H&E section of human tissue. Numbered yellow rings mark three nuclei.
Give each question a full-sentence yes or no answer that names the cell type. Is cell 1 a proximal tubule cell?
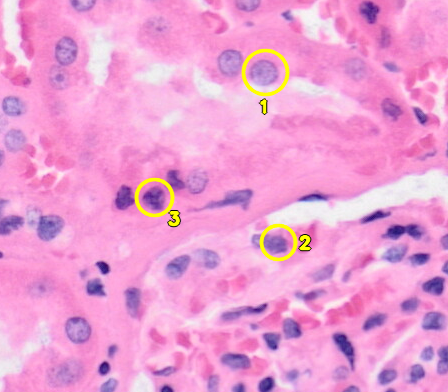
Yes, to put it simply, cell number 1 is a proximal tubule cell.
